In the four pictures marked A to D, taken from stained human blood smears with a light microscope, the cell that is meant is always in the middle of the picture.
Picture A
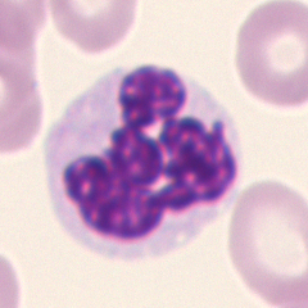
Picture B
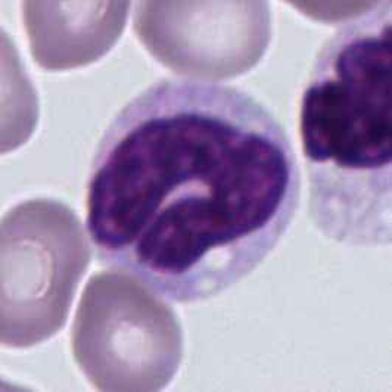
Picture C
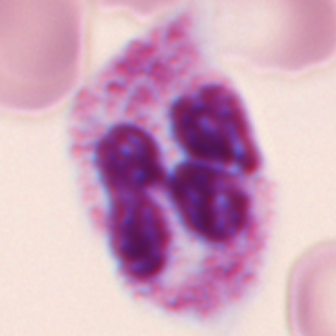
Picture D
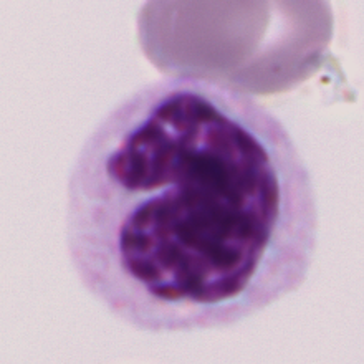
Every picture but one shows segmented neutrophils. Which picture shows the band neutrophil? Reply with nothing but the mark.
D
